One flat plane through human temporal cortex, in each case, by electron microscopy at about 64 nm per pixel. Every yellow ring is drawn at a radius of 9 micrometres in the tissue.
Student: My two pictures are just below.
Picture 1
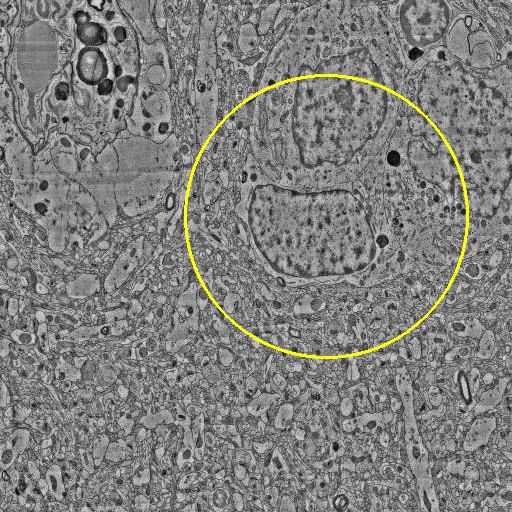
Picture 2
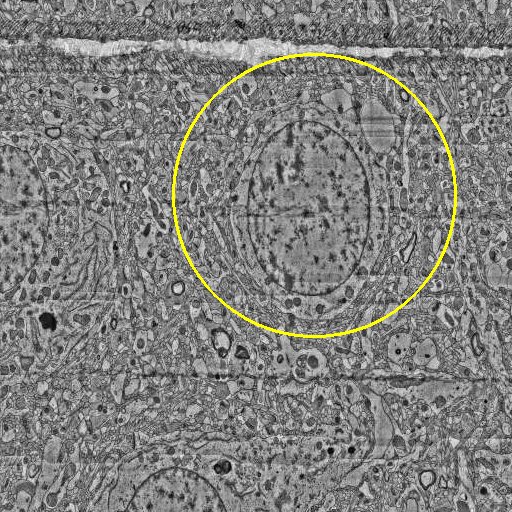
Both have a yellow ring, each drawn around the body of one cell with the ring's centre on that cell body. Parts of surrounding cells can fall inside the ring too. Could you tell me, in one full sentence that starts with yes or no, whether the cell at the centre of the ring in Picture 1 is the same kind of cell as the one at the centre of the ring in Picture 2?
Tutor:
No, the two cells are of two kinds.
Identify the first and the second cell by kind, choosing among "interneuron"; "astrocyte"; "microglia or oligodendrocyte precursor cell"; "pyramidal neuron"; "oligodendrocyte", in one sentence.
The one in the first picture is a microglial cell or oligodendrocyte precursor cell, while the one in the second is a pyramidal neuron.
